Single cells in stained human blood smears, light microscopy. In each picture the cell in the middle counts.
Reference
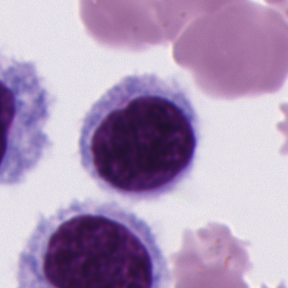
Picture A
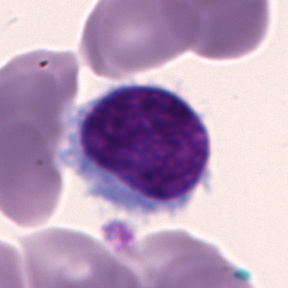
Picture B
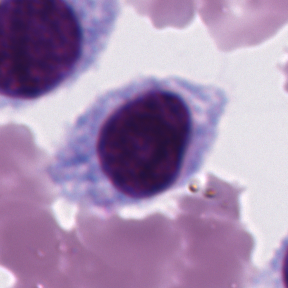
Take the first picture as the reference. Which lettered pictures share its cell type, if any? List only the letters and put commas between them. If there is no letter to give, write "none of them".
A, B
